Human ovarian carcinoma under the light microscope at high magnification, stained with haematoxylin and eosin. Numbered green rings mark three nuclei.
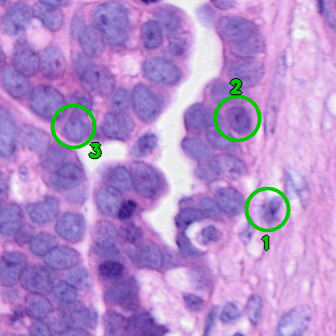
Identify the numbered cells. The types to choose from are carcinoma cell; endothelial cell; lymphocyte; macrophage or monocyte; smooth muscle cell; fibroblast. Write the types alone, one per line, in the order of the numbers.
macrophage or monocyte
carcinoma cell
carcinoma cell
